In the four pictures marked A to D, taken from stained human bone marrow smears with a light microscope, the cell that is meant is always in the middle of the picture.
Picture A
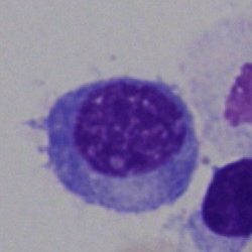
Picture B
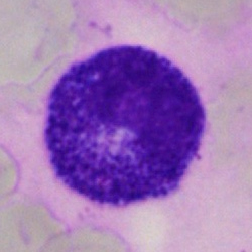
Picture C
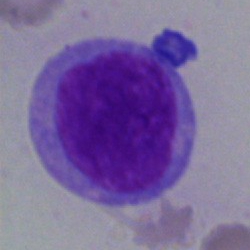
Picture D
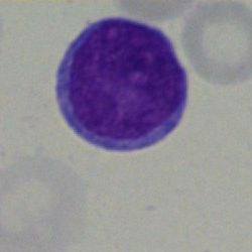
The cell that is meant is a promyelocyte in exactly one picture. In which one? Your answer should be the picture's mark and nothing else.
B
